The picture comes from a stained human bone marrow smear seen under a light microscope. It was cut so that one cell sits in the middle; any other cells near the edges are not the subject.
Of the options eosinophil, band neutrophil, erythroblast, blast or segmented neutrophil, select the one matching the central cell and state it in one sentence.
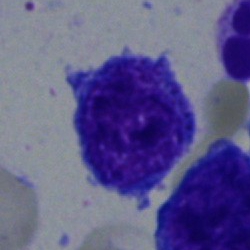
For this crop, the central cell is a blast.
